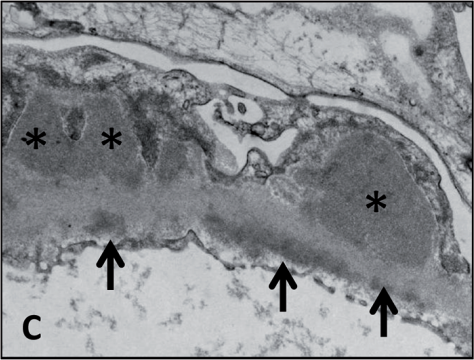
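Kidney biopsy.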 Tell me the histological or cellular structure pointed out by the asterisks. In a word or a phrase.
Subepithelial electron-dense deposits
